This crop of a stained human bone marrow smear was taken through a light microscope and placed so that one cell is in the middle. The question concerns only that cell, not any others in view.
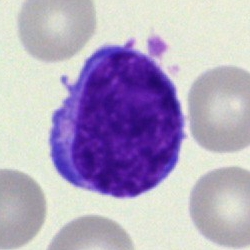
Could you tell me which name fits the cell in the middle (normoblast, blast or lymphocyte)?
blast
